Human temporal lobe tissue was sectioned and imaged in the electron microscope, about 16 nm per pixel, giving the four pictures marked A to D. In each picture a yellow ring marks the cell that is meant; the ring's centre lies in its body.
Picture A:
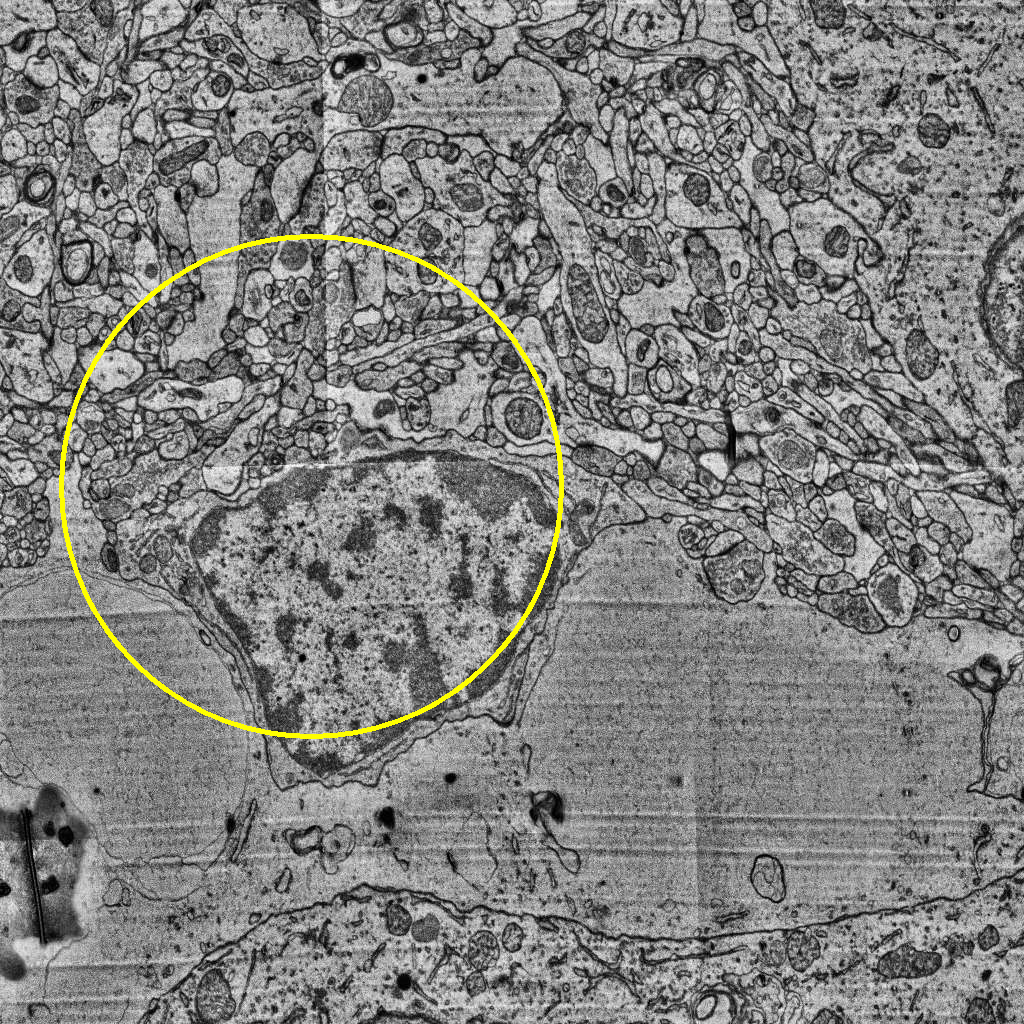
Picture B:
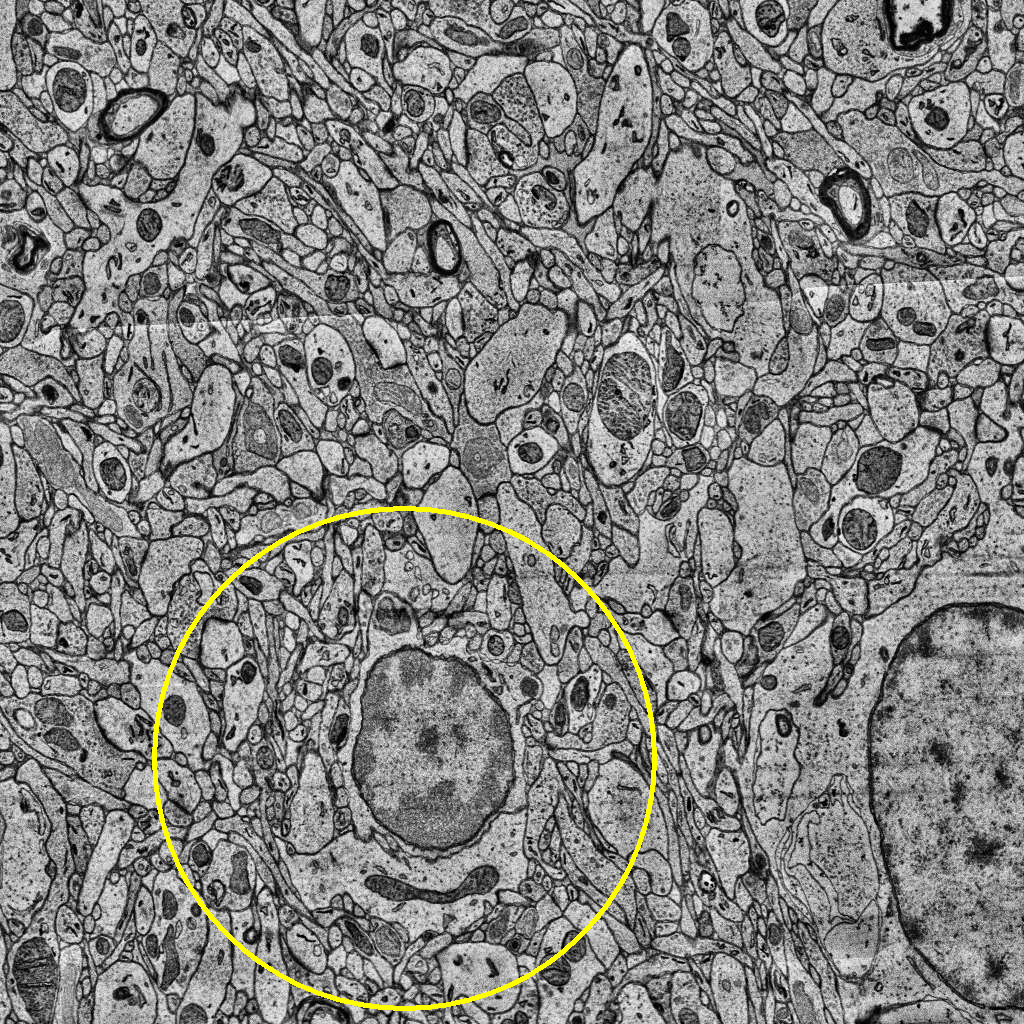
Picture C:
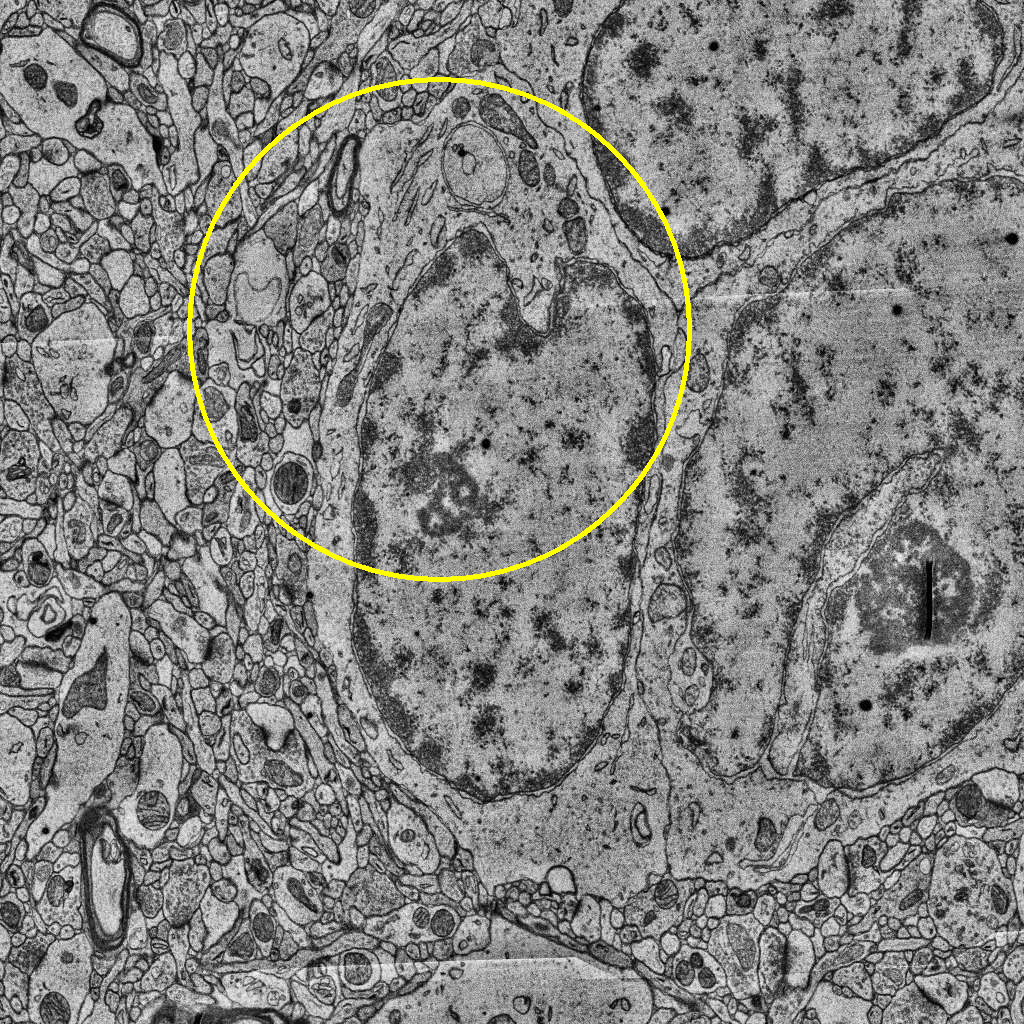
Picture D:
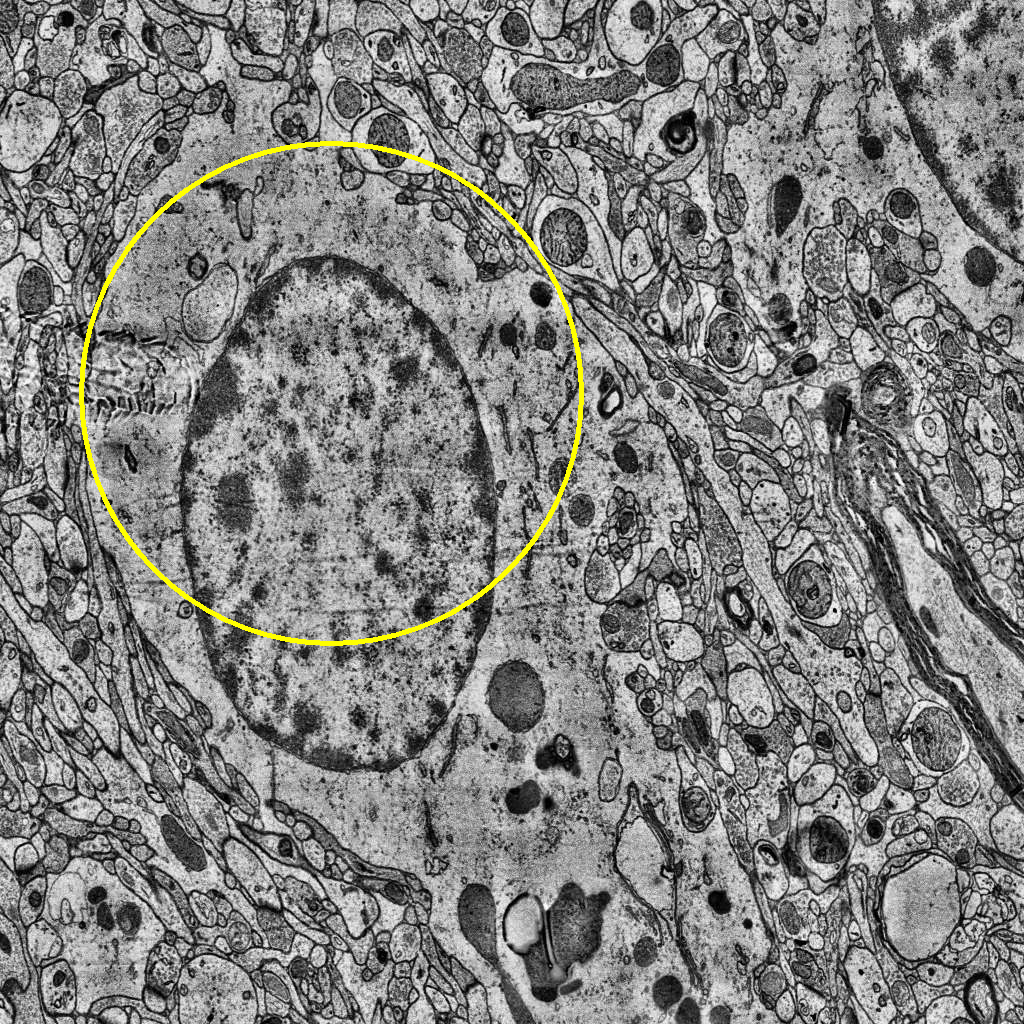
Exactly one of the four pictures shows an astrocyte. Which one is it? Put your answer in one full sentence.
Picture D is the one that shows the astrocyte.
